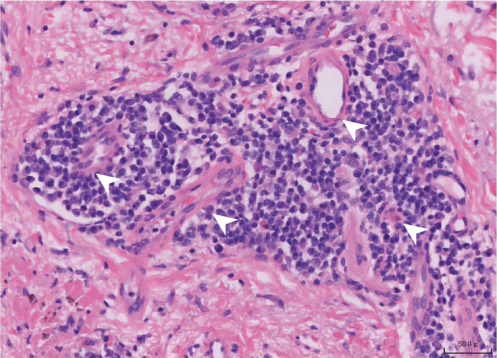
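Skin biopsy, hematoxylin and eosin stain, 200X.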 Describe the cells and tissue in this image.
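This is dermis with a dense cuff of lymphocytes and plasma cells gathered around small blood vessels. Most of the cells are small and round, with dark purple nuclei and only a thin rim of cytoplasm. Some have a little more pink cytoplasm and an eccentric nucleus. Small vessels with open lumens and flattened lining cells run through the cluster. Around the infiltrate lies loose pink collagenous stroma with scattered spindle-shaped nuclei.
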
